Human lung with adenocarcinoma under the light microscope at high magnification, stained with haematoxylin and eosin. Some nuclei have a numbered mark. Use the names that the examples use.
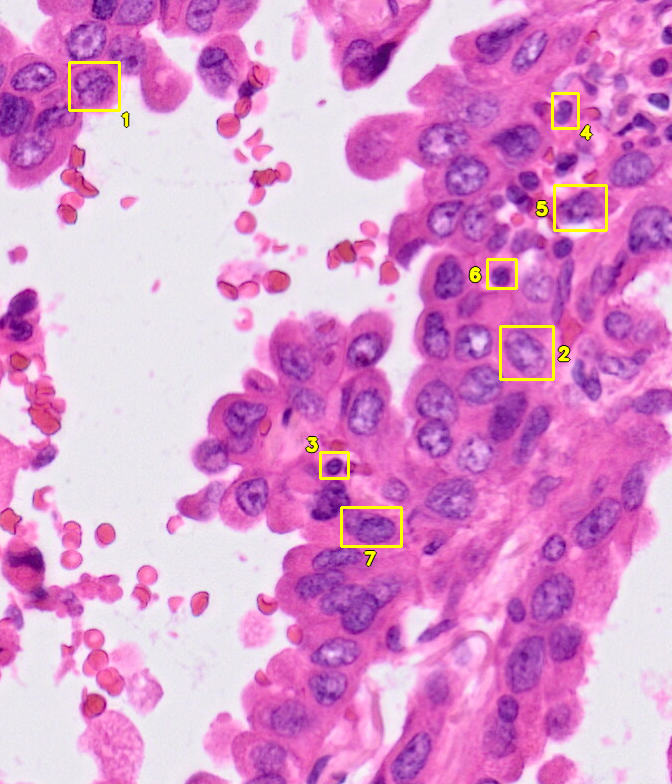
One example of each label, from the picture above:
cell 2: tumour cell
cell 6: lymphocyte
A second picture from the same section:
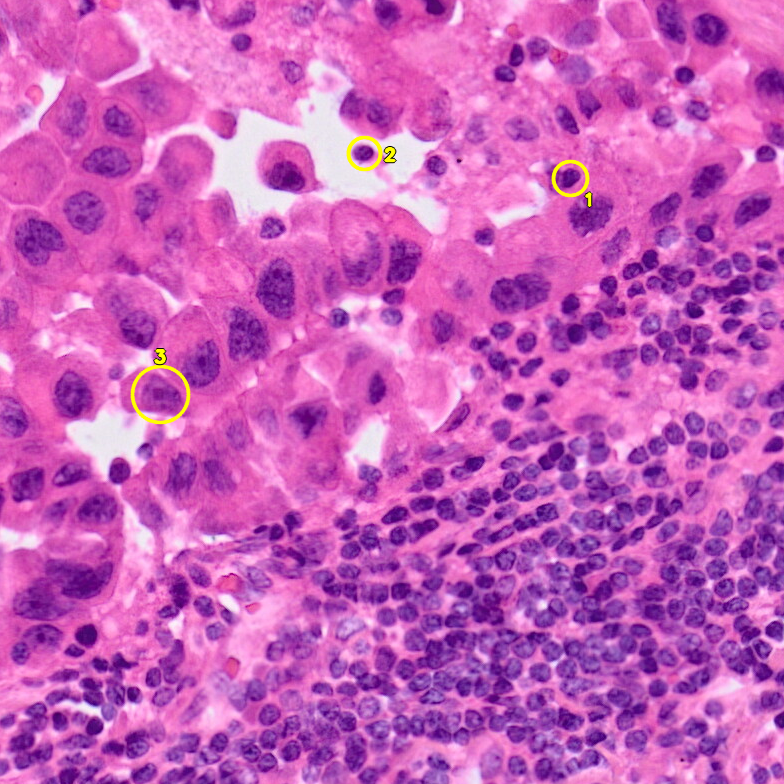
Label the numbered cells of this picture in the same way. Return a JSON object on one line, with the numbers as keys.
{"1": "lymphocyte", "2": "lymphocyte", "3": "tumour cell"}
